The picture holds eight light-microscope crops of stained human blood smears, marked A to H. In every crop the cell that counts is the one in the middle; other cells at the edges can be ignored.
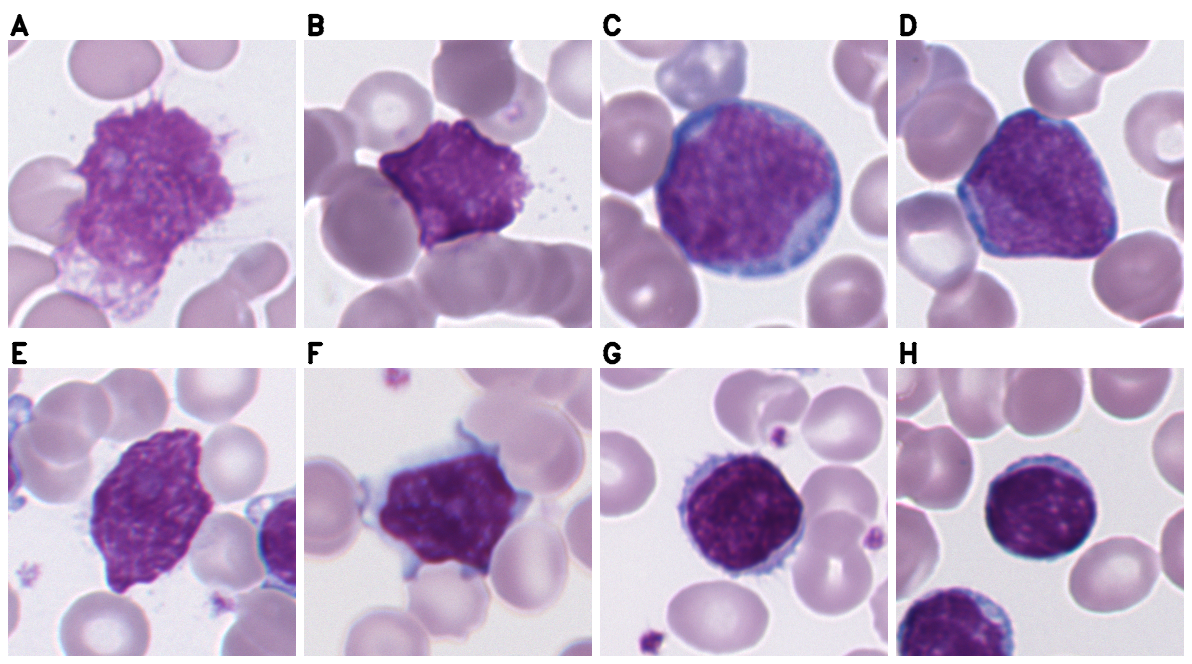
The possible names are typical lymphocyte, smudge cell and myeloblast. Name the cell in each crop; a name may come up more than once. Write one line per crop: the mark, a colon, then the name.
A: smudge cell
B: smudge cell
C: myeloblast
D: myeloblast
E: smudge cell
F: typical lymphocyte
G: typical lymphocyte
H: typical lymphocyte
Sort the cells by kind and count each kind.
smudge cell: 3
typical lymphocyte: 3
myeloblast: 2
